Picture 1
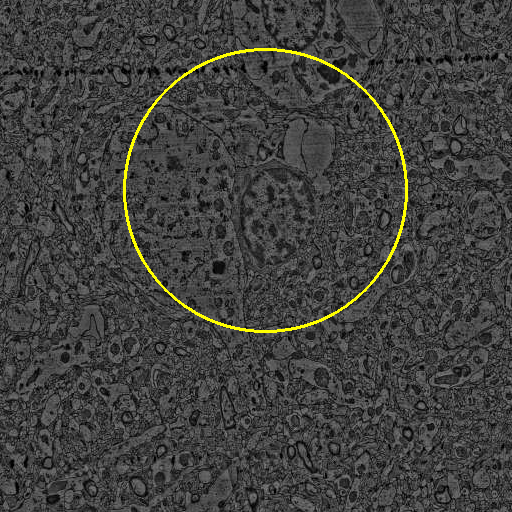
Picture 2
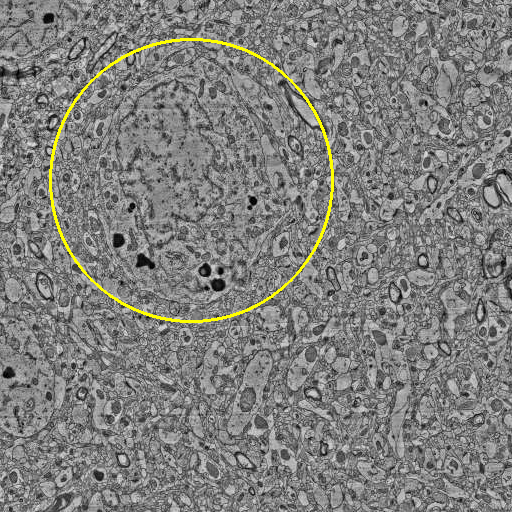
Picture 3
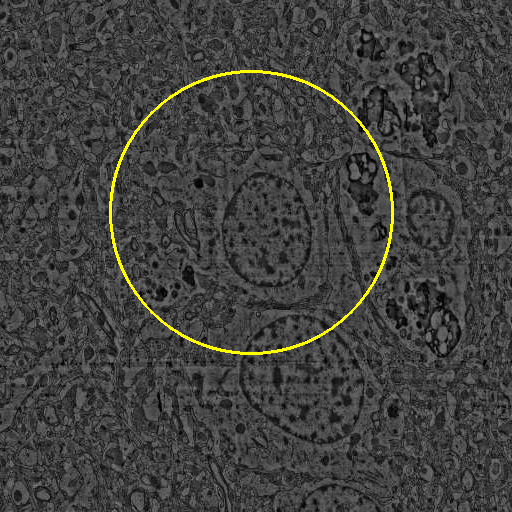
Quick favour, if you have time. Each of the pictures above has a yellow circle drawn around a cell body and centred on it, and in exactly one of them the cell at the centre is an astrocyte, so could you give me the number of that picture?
3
